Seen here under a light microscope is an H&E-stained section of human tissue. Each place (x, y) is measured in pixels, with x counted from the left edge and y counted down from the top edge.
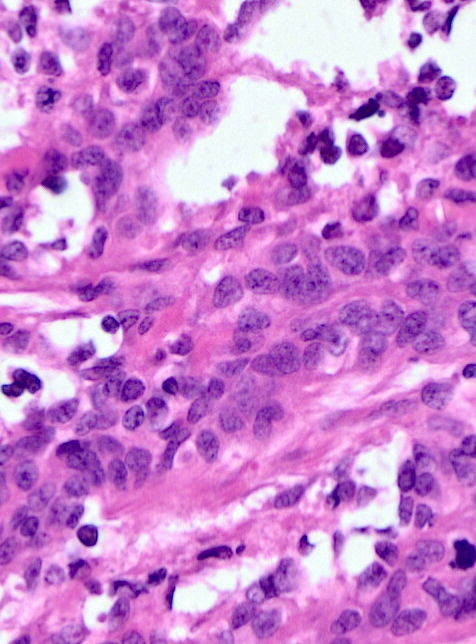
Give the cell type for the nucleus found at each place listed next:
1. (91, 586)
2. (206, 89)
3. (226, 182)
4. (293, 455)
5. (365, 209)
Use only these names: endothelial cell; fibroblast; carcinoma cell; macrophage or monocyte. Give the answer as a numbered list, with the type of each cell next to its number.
1. macrophage or monocyte
2. carcinoma cell
3. carcinoma cell
4. fibroblast
5. carcinoma cell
